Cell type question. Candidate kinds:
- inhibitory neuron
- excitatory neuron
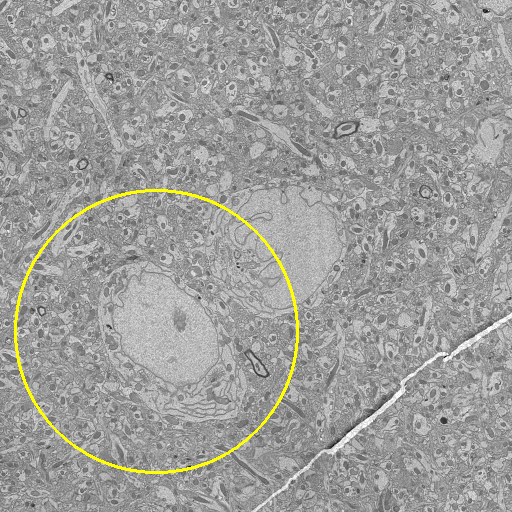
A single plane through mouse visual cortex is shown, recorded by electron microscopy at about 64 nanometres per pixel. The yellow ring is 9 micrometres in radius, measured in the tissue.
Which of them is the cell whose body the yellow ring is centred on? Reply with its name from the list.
inhibitory neuron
